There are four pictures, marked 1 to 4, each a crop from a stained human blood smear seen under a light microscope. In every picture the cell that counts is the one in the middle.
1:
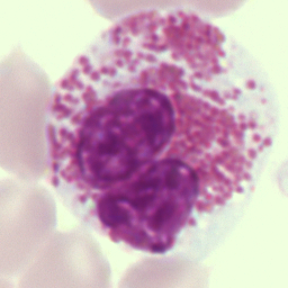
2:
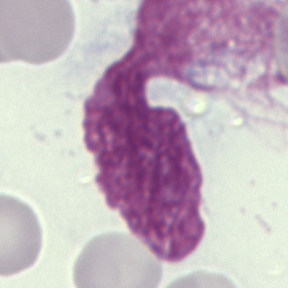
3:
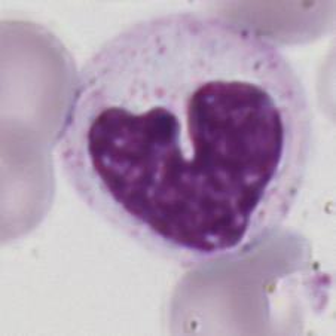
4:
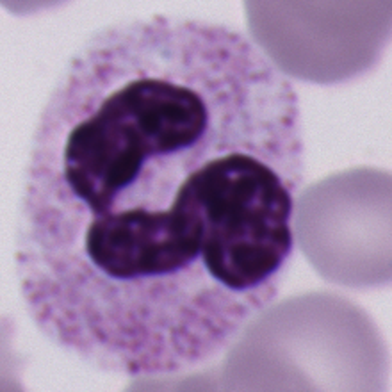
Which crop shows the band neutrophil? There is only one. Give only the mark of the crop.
3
